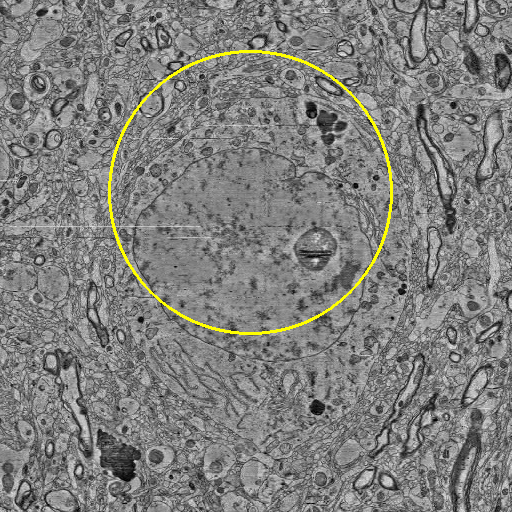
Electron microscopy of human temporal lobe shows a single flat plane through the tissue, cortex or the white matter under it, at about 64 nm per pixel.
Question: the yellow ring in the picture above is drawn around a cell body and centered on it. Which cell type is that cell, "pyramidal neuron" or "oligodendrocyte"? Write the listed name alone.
pyramidal neuron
